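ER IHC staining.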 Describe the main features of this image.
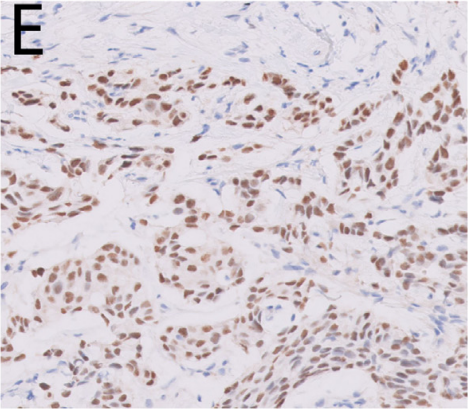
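This is invasive carcinoma infiltrating as irregular cords, trabeculae and small nests through a pale, loose fibrous stroma. The tumor cells are crowded, with oval to somewhat elongated nuclei, and nearly all of these nuclei are stained a fairly uniform medium to dark brown, while the cytoplasm stays pale. In contrast, the scattered thin, spindle-shaped nuclei of stromal cells between the tumor cords, especially at the top of the field, keep the blue counterstain. The brown staining is confined to the nuclei, giving a clear picture of how the tumor cords weave through the surrounding connective tissue.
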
